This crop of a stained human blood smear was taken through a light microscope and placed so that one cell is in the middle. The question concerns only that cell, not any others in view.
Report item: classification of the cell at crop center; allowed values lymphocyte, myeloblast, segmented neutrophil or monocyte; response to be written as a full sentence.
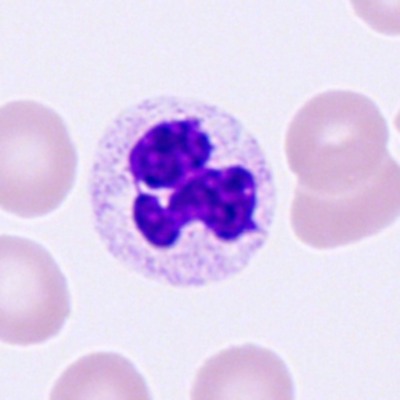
By classification, the middle cell of this crop is a segmented neutrophil.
